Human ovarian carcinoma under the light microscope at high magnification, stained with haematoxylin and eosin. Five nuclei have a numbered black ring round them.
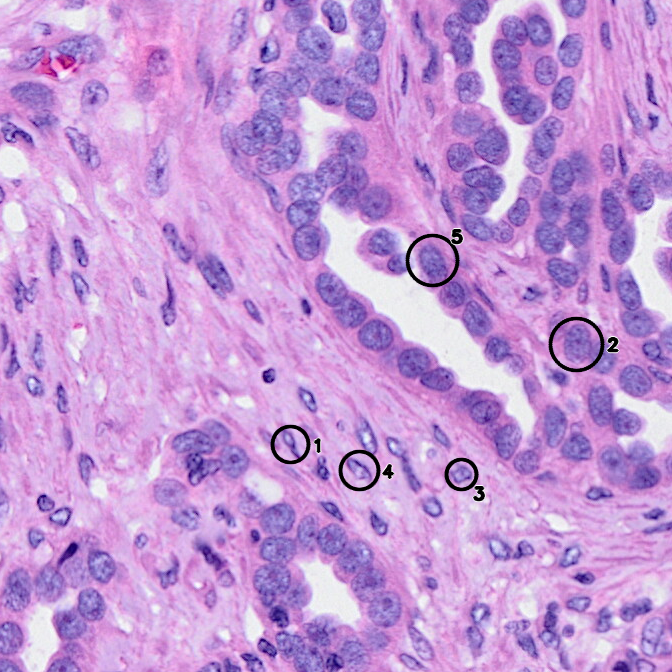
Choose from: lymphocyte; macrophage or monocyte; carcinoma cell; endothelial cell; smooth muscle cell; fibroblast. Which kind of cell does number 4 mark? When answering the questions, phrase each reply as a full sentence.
In this section, the cell numbered 4 is a fibroblast.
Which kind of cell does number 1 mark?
Cell 1, among those numbered, is a fibroblast.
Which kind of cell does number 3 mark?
The cell that bears the number 3 is a fibroblast.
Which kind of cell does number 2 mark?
The cell referenced by the number 2 is a carcinoma cell in this field.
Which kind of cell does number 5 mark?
Belonging to a carcinoma cell is the nucleus that carries the number 5.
